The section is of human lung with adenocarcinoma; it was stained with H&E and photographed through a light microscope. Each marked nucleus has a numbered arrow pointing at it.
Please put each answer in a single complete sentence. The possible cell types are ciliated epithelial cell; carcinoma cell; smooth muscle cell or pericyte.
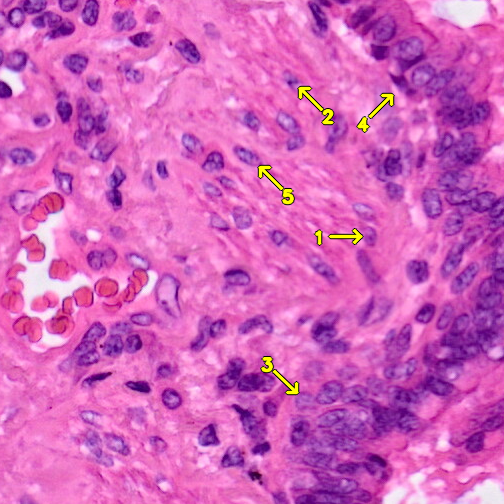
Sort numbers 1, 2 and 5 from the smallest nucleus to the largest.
Smallest first, the nuclei run 2, 1, 5.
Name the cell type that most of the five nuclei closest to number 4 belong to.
Ciliated epithelial cells make up most of the five nuclei closest to number 4.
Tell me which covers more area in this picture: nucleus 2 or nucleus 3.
Number 3 is larger; its area is about 1.5 times that of number 2.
